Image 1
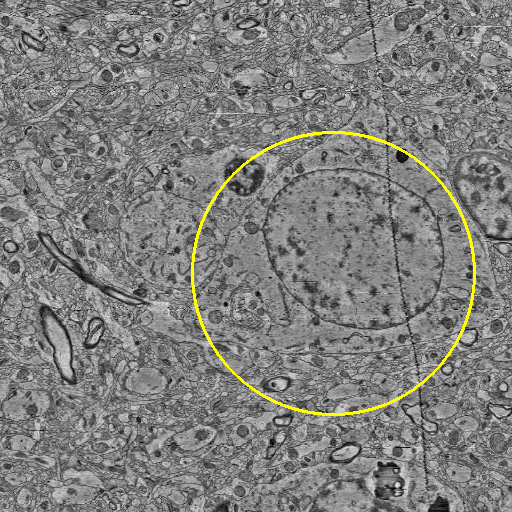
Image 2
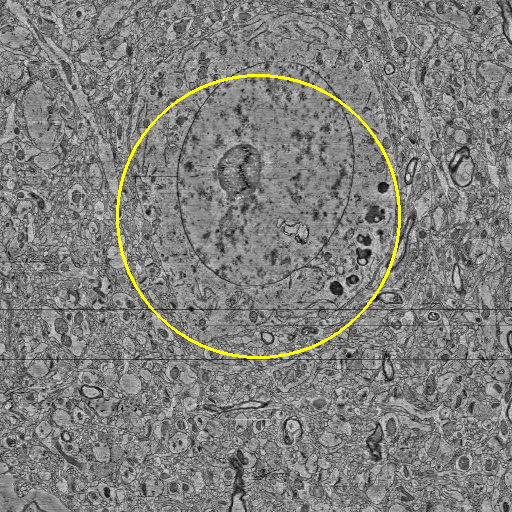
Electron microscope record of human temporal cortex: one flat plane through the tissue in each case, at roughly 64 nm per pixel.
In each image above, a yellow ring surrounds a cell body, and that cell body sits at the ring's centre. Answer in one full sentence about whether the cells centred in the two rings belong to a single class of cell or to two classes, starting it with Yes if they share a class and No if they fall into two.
Yes, the cells centred in the two yellow rings belong to a single class of cell.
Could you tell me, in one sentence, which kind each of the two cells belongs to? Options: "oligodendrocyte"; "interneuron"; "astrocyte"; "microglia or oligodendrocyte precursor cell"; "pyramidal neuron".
In both pictures the ring is centred on a pyramidal neuron.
